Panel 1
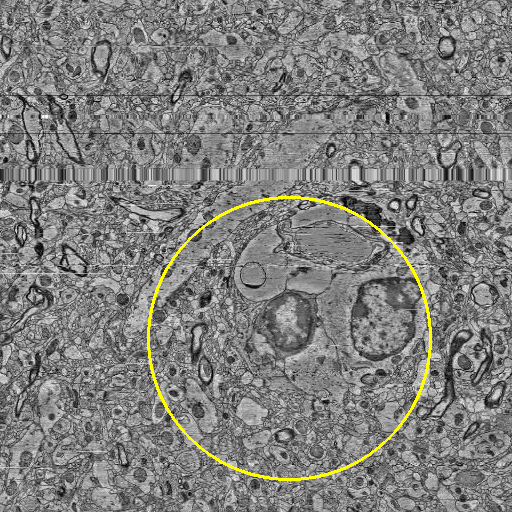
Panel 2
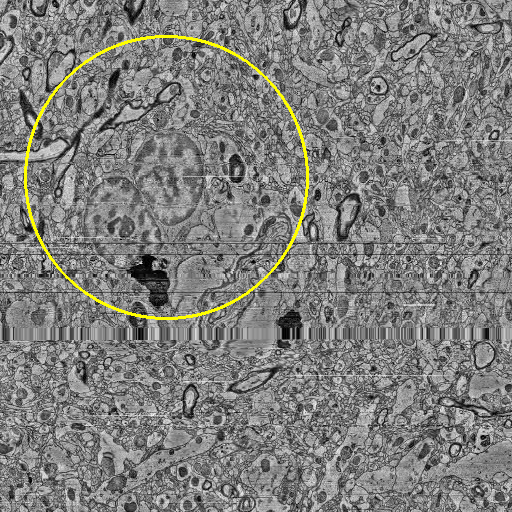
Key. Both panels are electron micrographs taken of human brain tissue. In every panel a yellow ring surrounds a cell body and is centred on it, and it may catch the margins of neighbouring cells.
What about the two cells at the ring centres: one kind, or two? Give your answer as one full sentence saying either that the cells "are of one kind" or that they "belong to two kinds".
Across Panels 1 and 2, the two cells at the ring centres are of one kind.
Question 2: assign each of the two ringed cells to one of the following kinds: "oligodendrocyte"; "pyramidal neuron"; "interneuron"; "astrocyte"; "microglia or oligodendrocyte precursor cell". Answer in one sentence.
In both pictures the ring is centred on an oligodendrocyte.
